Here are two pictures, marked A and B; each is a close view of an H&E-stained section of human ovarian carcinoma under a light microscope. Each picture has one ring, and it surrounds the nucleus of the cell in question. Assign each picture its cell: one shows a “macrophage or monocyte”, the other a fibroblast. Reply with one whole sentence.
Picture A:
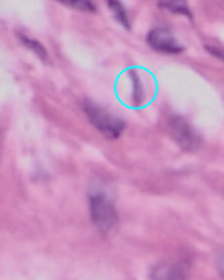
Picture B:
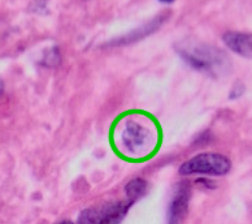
Picture A shows a fibroblast and picture B shows a “macrophage or monocyte”.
